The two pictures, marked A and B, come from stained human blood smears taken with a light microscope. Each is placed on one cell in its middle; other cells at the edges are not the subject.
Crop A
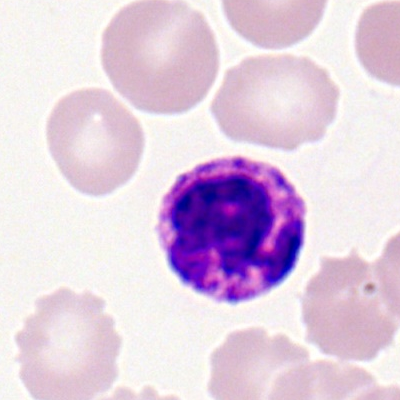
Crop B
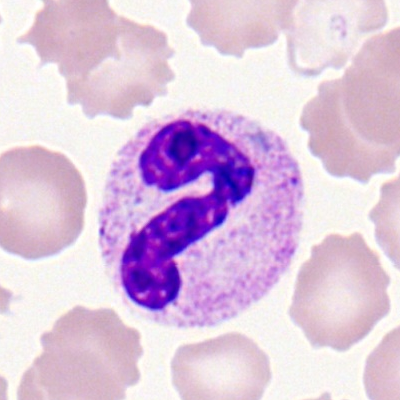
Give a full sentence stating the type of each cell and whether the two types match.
No, crop A displays a basophil and crop B displays a segmented neutrophil.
